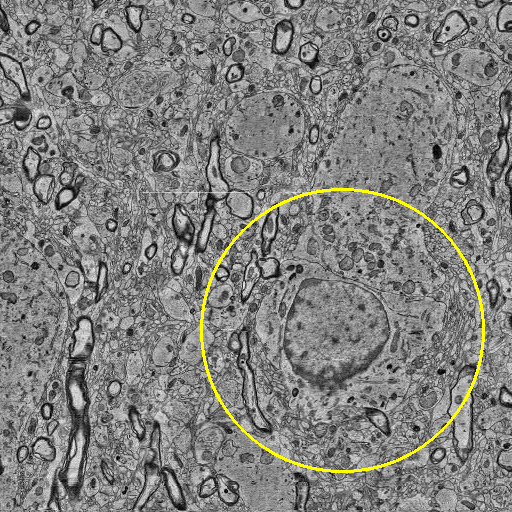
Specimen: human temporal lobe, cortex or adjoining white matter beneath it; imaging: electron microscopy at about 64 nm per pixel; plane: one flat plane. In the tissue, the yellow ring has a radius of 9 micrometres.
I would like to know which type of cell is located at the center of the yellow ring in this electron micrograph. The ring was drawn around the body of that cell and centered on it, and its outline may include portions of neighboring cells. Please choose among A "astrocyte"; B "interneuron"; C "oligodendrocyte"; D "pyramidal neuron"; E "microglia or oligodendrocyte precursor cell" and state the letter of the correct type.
E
